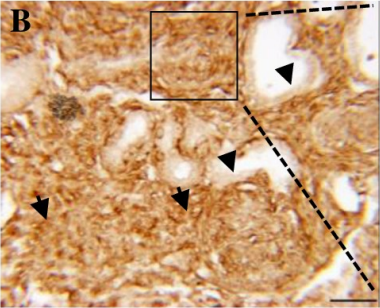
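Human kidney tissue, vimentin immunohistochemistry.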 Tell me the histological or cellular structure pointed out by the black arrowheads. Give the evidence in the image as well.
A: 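The arrowheads point to wide, empty lumens lined by a thin cell layer. The lumens are set in densely packed brown-stained stroma.
Hence: dilated tubules.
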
